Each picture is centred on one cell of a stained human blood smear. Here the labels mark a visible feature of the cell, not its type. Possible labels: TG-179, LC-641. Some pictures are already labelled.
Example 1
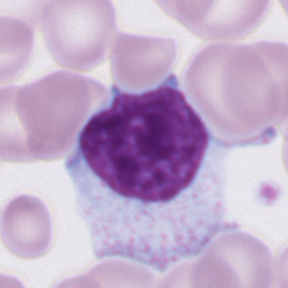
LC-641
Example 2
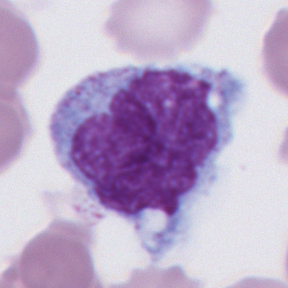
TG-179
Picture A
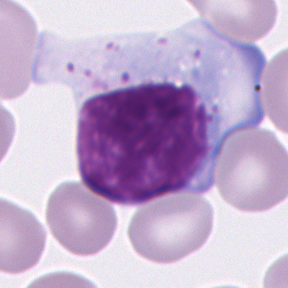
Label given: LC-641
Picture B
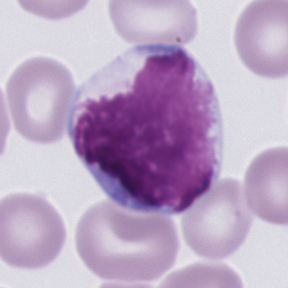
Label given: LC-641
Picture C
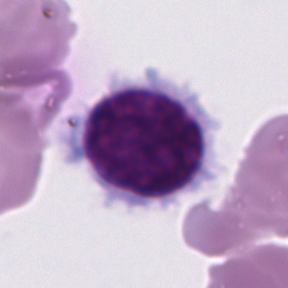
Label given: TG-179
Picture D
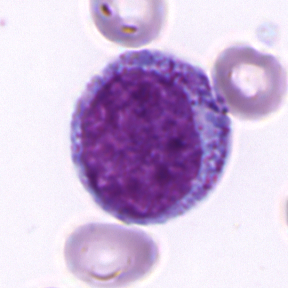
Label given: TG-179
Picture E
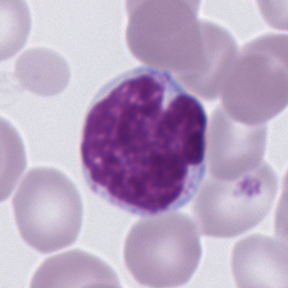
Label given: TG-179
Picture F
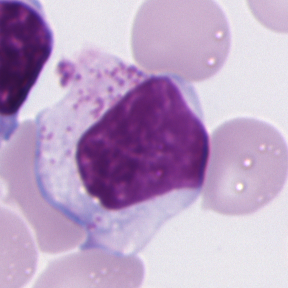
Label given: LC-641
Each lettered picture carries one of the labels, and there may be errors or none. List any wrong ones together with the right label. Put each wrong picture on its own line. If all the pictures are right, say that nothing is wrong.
B is labelled LC-641; correct label: TG-179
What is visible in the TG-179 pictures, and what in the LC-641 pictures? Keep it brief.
Seen in TG-179: scant cytoplasm; seen in LC-641: abundant cytoplasm.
